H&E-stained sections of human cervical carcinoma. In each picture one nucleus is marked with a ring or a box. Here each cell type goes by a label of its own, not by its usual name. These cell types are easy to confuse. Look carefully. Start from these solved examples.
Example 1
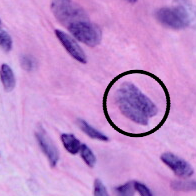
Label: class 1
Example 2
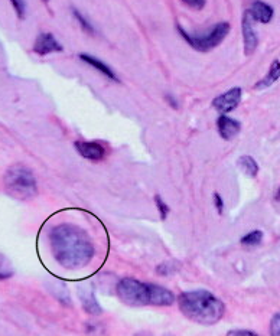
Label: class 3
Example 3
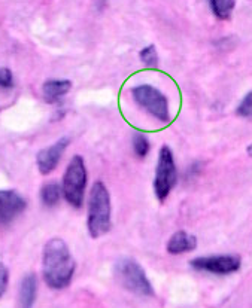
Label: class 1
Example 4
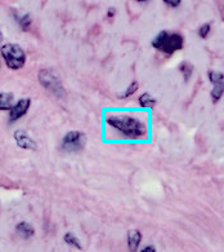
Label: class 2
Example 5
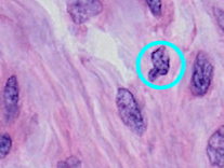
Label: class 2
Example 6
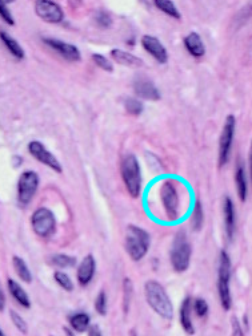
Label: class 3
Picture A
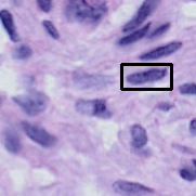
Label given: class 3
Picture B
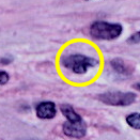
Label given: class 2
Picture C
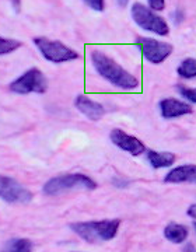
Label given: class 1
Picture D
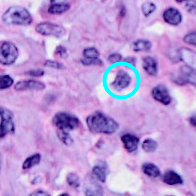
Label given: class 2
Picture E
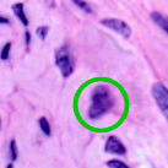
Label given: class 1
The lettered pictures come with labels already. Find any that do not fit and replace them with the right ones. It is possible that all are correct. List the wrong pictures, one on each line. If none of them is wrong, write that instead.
A: change class 3 to class 1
